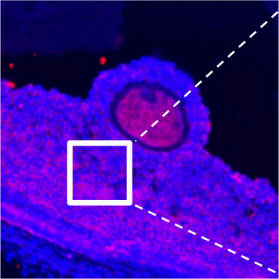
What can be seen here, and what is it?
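This is the wall of an antral follicle with a mound of cumulus cells resting on a thick layer of granulosa cells. The cumulus cells form a ring of blue nuclei around a large round structure that carries diffuse red staining inside a darker rim. The granulosa layer below is crowded with blue nuclei mixed with patchy red-magenta staining between them. A dark area lies above the mound.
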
